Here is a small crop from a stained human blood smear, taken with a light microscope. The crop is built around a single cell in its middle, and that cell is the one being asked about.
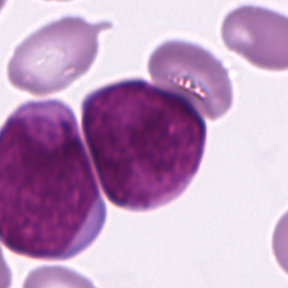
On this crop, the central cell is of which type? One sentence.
Present in the middle of the crop is a myeloblast.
